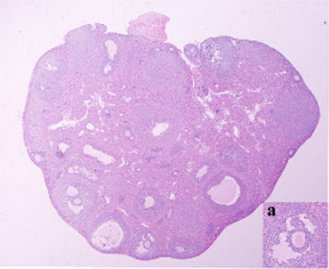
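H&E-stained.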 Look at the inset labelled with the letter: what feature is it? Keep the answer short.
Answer: Antral follicle.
